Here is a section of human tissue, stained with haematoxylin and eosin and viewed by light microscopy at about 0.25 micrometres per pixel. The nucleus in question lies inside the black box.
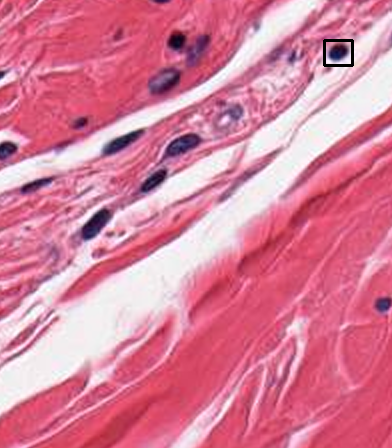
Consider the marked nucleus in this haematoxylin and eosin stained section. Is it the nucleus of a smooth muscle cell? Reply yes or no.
no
